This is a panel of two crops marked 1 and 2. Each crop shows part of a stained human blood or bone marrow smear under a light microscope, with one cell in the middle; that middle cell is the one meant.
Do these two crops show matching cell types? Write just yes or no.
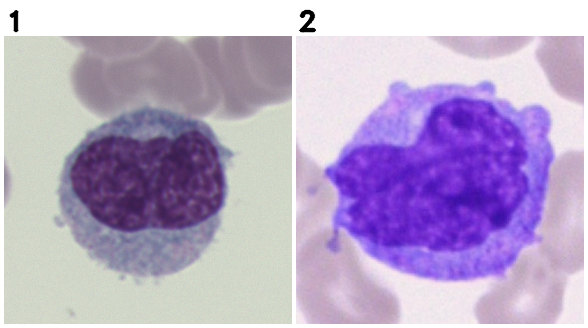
yes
